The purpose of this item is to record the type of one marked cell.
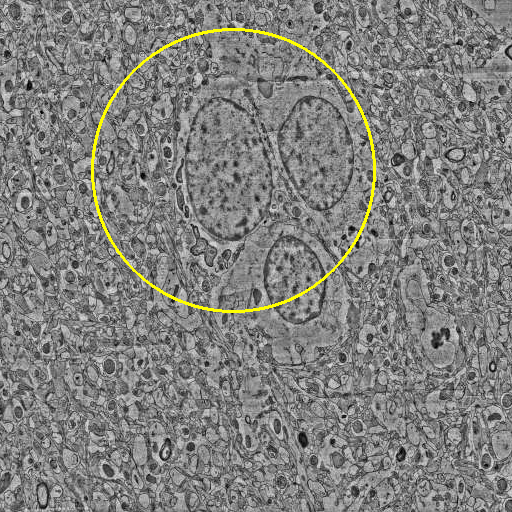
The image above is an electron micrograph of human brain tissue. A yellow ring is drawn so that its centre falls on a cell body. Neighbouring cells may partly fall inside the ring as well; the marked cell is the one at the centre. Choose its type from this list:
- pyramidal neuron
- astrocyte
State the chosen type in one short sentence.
What the ring marks here is an astrocyte.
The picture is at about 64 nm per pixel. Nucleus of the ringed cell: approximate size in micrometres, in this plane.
The nucleus measures about 9 by 6 micrometres, so it is clearly longer than it is wide in this plane.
